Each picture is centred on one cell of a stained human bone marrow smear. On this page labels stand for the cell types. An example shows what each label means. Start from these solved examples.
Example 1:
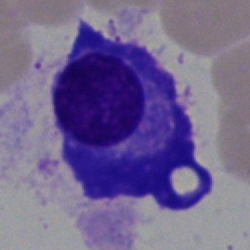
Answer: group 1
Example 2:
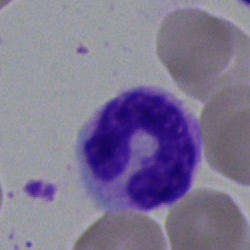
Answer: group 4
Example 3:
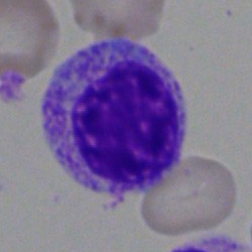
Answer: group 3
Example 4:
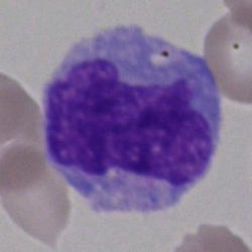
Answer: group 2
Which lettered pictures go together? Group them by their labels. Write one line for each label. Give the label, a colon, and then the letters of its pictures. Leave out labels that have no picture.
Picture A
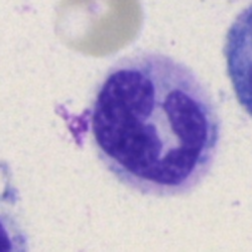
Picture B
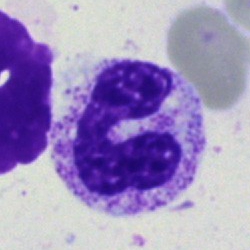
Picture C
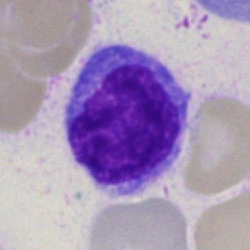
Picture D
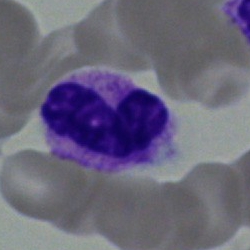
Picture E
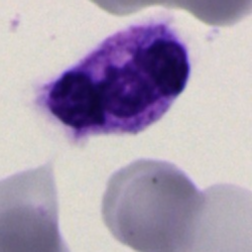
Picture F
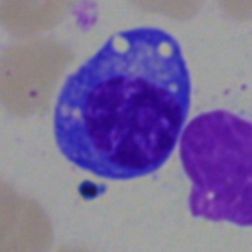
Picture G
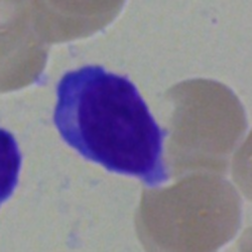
group 1: F, G
group 4: B, D, E
group 2: A, C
